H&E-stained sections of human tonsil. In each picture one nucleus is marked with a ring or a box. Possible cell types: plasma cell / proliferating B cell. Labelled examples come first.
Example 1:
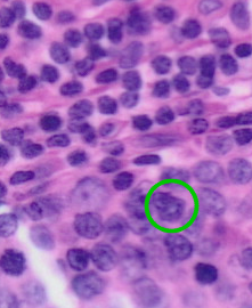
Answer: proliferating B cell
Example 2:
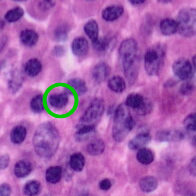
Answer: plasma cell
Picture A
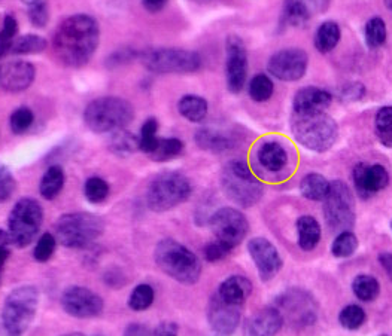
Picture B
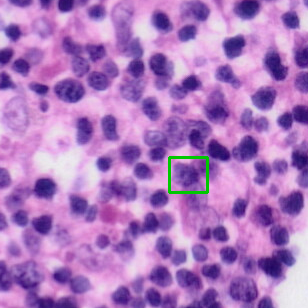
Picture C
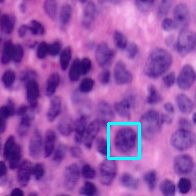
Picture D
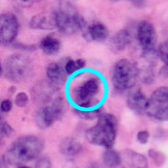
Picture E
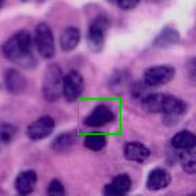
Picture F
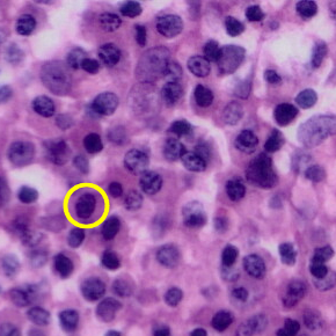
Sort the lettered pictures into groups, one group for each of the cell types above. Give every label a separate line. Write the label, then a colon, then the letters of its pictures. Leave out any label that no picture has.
plasma cell: A, E, F
proliferating B cell: B, C, D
